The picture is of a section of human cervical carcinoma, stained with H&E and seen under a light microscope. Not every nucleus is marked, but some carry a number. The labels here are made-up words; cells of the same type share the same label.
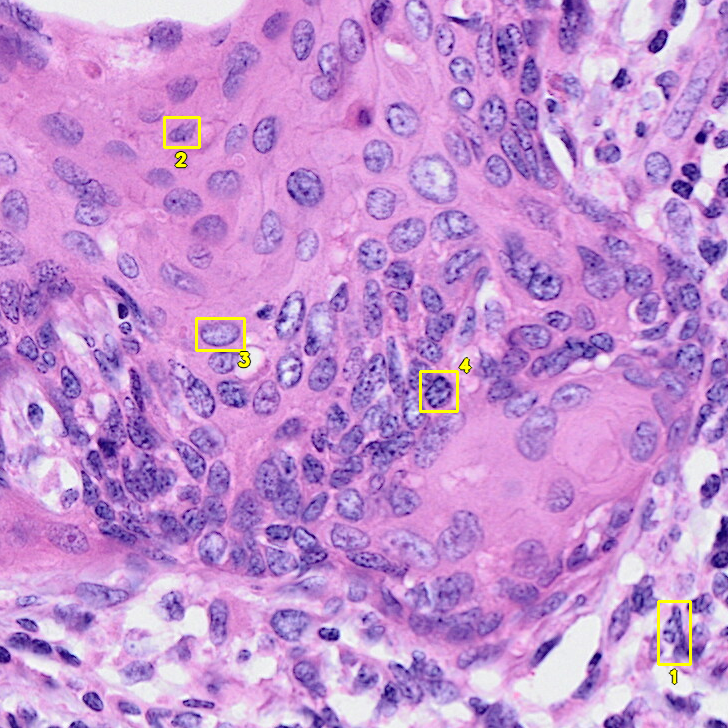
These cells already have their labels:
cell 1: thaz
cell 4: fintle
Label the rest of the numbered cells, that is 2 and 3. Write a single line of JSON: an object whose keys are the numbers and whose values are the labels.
{"2": "fintle", "3": "fintle"}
